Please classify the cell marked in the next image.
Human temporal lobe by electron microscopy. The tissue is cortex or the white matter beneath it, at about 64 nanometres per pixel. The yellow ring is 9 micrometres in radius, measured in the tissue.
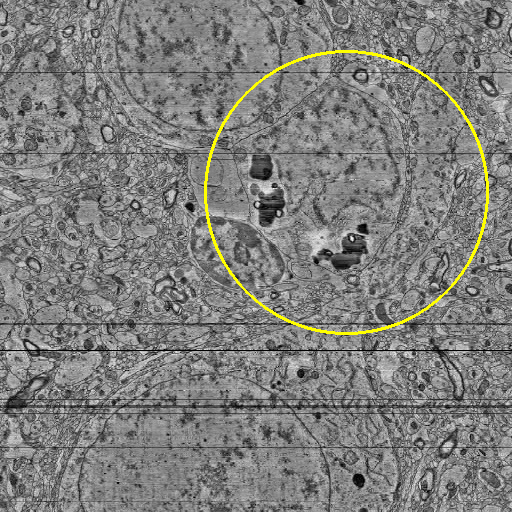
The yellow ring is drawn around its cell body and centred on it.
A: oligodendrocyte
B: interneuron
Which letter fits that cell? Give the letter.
B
